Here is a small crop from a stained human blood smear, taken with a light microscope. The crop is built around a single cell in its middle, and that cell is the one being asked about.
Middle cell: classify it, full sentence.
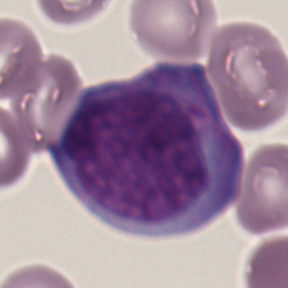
The central element of this crop is a cell, namely an atypical promyelocyte.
